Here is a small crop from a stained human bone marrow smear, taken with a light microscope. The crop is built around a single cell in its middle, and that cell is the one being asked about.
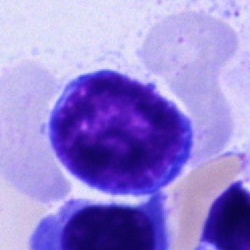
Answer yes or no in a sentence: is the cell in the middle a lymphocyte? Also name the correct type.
Yes, the cell lying in the centre of the crop is identified as a lymphocyte.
